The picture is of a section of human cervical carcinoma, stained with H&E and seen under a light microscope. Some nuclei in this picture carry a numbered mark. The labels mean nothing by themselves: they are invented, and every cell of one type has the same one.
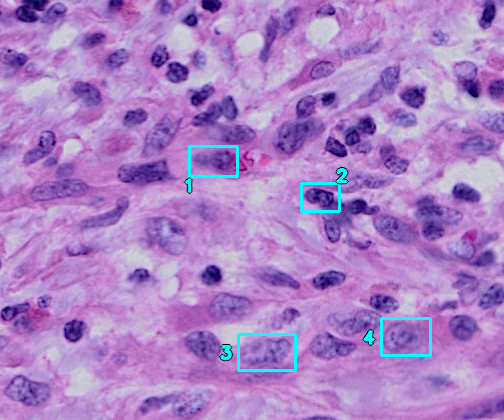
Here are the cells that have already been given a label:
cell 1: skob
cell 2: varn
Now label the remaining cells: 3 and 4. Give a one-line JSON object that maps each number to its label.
{"3": "skob", "4": "skob"}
